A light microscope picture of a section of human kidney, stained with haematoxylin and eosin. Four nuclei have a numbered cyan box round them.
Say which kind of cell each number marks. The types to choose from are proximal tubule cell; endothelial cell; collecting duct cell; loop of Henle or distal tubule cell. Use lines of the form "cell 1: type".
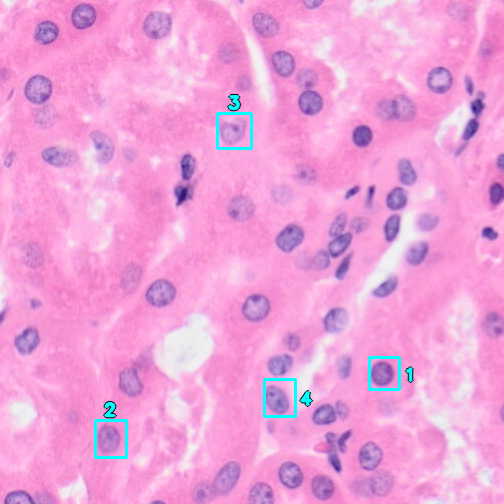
cell 1: proximal tubule cell
cell 2: proximal tubule cell
cell 3: proximal tubule cell
cell 4: collecting duct cell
